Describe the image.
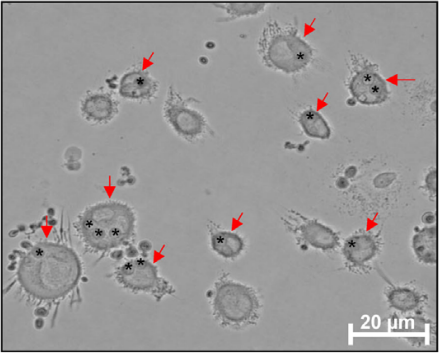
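These are macrophages seen unstained in phase contrast, lying apart from one another. Many are spread with irregular outlines and bristle with fine spiky projections. The cells vary widely in size, some being large and flattened.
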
